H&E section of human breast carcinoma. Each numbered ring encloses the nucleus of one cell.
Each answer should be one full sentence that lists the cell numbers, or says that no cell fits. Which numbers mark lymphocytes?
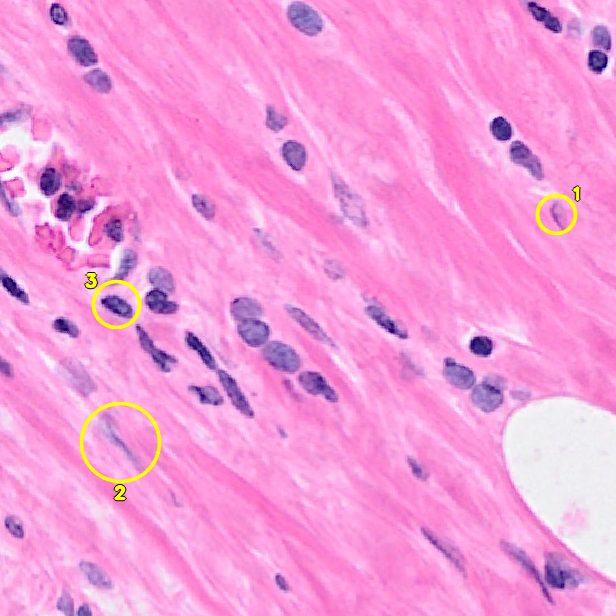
Cell 3 is the single numbered cell that is a lymphocyte.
